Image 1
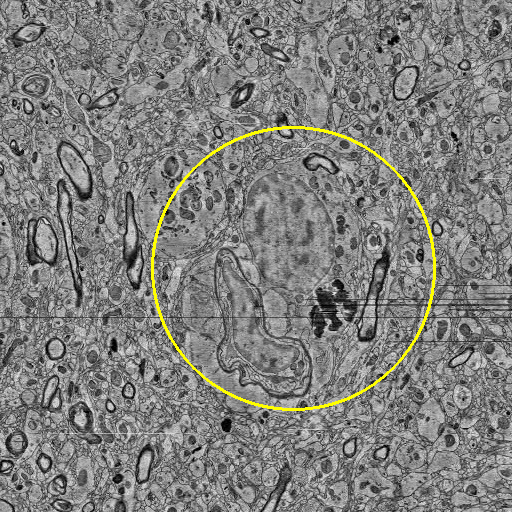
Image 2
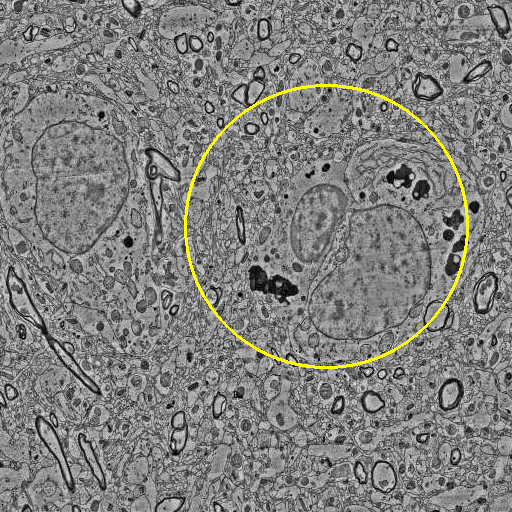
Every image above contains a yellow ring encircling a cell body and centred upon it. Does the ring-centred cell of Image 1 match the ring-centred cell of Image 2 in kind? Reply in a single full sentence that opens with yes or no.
Yes, the cell at the ring's centre in Image 1 is the same kind as that in Image 2.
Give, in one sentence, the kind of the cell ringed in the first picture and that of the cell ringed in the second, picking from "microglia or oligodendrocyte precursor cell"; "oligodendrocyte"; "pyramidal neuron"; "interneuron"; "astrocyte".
Each cell, in the first picture and the second, is an oligodendrocyte.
